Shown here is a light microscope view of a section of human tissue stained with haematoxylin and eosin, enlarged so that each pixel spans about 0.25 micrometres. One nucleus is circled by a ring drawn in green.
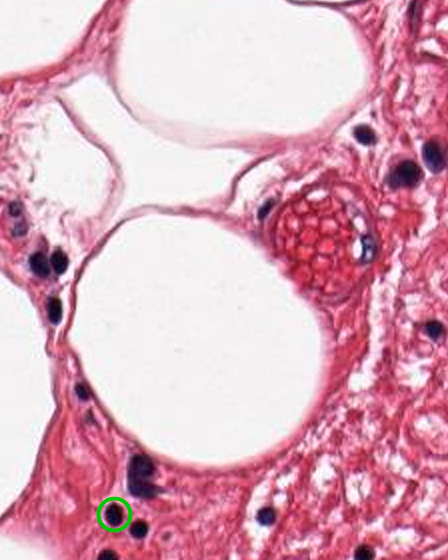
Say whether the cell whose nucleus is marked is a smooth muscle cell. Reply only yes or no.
no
